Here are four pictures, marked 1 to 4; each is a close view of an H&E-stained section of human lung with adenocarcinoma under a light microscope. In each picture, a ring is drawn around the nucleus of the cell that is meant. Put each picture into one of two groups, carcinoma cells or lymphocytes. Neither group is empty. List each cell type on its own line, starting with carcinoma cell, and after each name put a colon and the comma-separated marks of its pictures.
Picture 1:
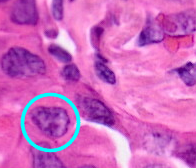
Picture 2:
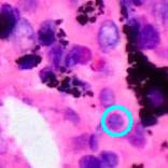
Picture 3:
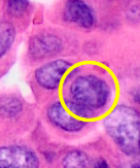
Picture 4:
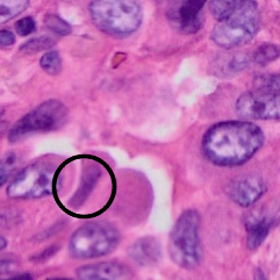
carcinoma cell: 1, 3, 4
lymphocyte: 2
